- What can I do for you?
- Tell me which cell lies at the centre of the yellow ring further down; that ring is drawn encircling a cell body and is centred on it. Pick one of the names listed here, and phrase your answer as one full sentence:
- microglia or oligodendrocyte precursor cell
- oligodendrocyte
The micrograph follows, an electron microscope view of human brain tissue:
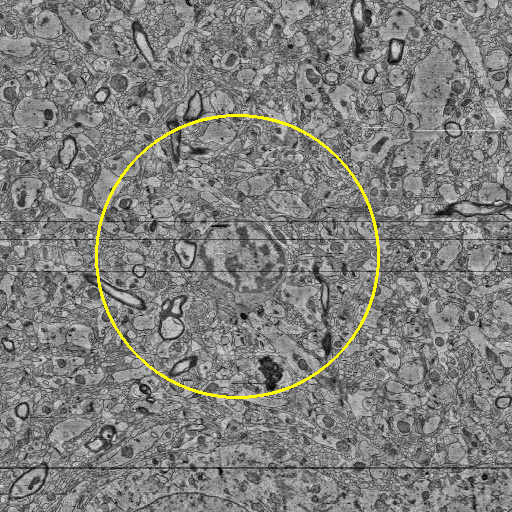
The cell whose body lies at the centre of the yellow ring is an oligodendrocyte.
